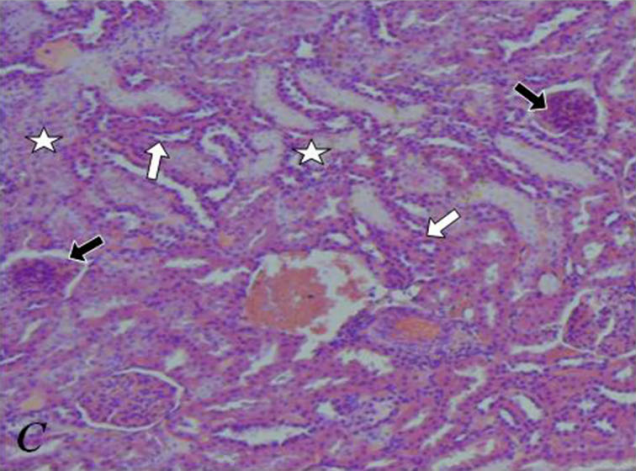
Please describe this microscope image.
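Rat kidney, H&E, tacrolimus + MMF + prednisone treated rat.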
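Some tubules have wide, clear lumens and darker pink lining, while others are paler. A few glomeruli are small and dense, shrunken within their capsules with a clear space around them, and a vessel in the middle is filled with pink-red blood.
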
